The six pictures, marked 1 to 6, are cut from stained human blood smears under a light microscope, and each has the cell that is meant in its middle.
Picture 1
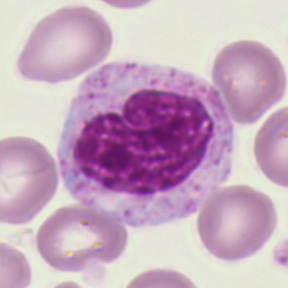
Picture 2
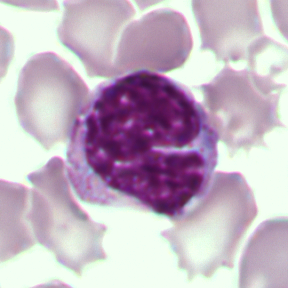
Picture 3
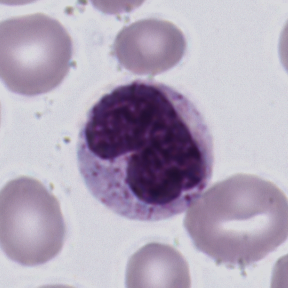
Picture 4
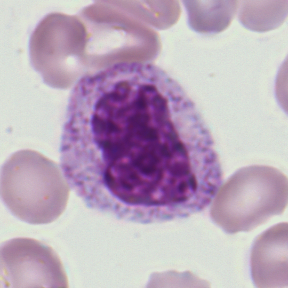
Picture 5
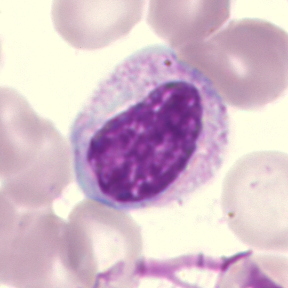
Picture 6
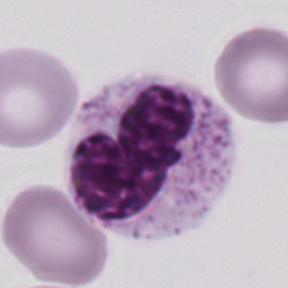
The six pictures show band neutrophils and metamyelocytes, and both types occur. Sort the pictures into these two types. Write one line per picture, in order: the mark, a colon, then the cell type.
1: band neutrophil
2: band neutrophil
3: band neutrophil
4: metamyelocyte
5: metamyelocyte
6: band neutrophil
